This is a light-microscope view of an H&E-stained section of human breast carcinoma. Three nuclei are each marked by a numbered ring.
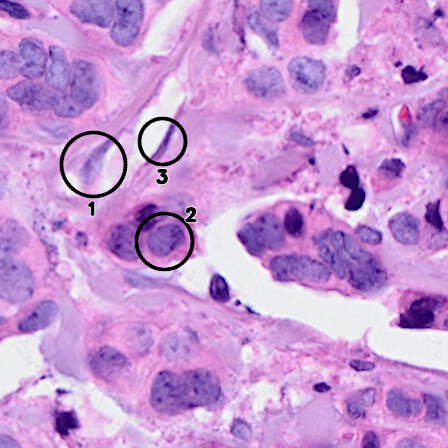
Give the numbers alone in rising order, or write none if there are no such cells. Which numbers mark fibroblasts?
1, 3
